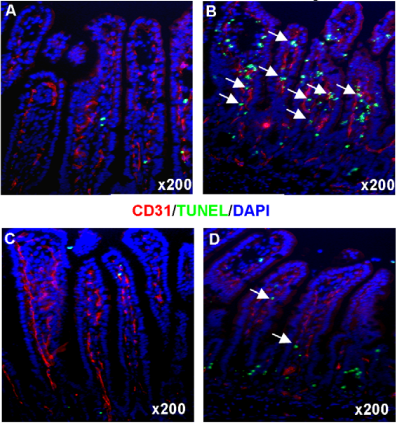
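These four fluorescence images show finger-like intestinal villi cut lengthwise, each covered by a surface lining of closely packed cells whose blue nuclei form a dense band along the edges. The core of each villus, the lamina propria, holds looser blue nuclei and thin red-outlined channels running up its length, the small blood vessels lined by endothelial cells. In the upper right image many green dots sit within the villus cores along the red vessels, and white arrows point to several of them. The lower right image has fewer such green dots in the cores, with two marked by arrows, while the two images on the left show almost none.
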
